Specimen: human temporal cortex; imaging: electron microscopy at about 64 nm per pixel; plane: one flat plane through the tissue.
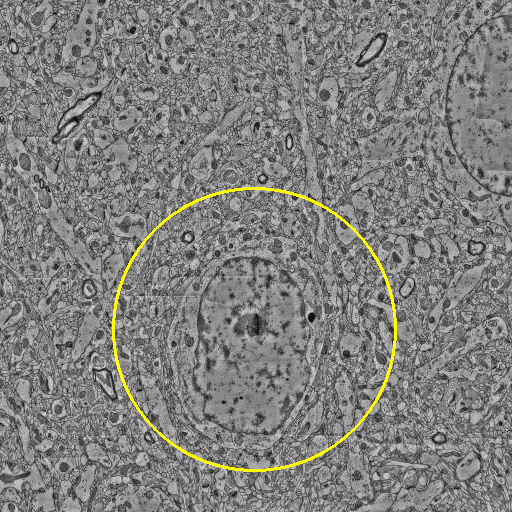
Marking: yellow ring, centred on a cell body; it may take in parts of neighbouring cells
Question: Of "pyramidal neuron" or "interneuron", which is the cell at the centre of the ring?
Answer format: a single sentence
The ring surrounds the body of an interneuron.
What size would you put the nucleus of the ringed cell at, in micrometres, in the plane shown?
About 11 by 8 micrometres in this plane.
